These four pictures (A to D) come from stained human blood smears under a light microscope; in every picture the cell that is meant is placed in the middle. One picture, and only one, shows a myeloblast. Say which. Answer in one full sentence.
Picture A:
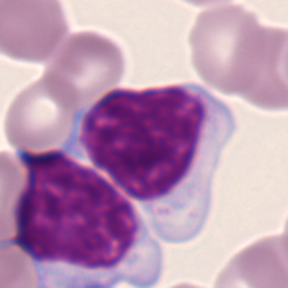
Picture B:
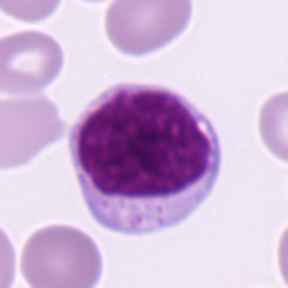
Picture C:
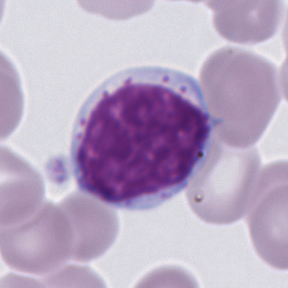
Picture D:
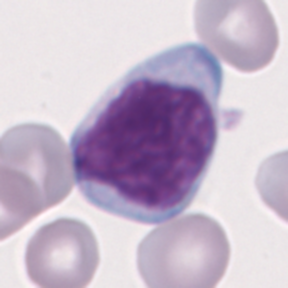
Picture D is the one that shows the myeloblast.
